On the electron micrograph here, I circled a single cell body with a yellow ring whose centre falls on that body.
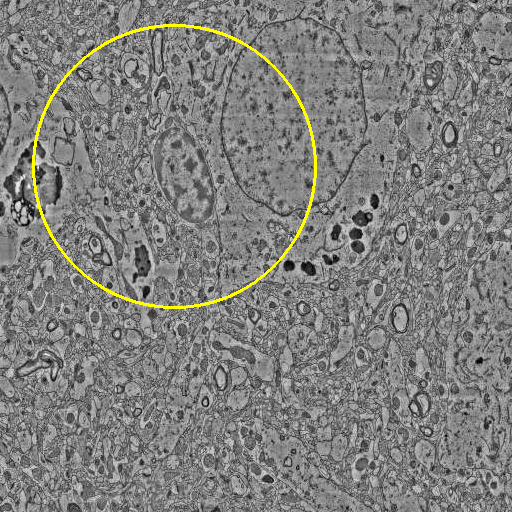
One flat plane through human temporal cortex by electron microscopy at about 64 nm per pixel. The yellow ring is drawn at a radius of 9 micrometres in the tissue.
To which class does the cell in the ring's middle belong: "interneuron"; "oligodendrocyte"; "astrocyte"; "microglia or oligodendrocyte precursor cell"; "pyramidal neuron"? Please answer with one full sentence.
In this picture, the cell body circled at the ring's centre belongs to a microglial cell or oligodendrocyte precursor cell.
